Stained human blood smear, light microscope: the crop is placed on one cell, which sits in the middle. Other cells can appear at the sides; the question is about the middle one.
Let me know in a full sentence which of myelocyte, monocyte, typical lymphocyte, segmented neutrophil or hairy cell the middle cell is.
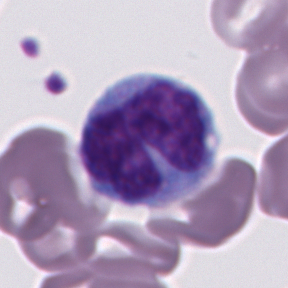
The crop's centre is taken up by a monocyte.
